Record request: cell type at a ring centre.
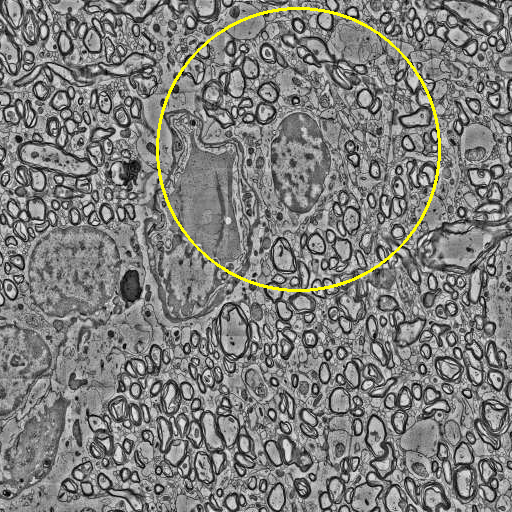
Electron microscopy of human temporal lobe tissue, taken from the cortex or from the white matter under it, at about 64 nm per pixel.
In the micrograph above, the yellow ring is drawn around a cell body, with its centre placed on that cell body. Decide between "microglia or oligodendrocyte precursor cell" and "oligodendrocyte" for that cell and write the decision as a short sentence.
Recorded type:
The cell centred in the yellow ring is a microglial cell or oligodendrocyte precursor cell.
